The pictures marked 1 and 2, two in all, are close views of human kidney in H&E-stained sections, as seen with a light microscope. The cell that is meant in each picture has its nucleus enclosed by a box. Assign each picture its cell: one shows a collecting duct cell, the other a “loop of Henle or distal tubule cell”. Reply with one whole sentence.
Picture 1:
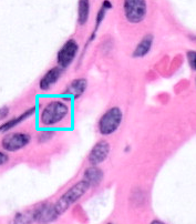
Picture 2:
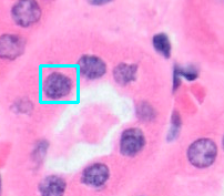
Picture 2 shows a “loop of Henle or distal tubule cell”, while picture 1 shows a collecting duct cell.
